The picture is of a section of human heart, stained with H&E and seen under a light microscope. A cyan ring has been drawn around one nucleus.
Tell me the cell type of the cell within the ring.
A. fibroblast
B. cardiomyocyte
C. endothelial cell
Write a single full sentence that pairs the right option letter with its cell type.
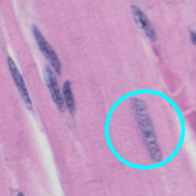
The right option is B, the cell within the ring being a cardiomyocyte.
